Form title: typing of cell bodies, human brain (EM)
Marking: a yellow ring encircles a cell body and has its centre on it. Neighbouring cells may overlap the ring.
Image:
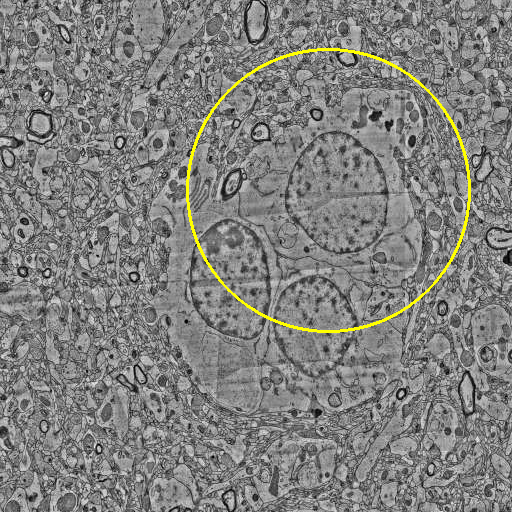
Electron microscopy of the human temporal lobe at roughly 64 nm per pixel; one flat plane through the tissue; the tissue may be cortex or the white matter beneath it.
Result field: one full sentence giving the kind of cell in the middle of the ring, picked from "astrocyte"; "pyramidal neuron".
In the picture, the ring is centred on an astrocyte, whose cell body it encircles.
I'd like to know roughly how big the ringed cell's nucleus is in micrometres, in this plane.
In this plane, the nucleus is roughly 8 by 7 micrometres.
